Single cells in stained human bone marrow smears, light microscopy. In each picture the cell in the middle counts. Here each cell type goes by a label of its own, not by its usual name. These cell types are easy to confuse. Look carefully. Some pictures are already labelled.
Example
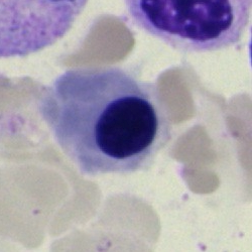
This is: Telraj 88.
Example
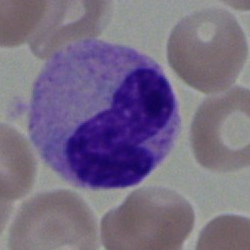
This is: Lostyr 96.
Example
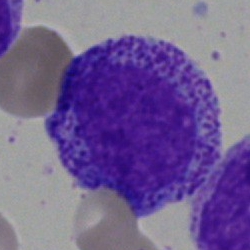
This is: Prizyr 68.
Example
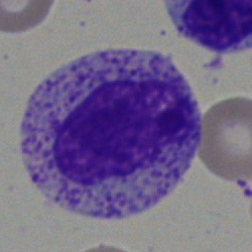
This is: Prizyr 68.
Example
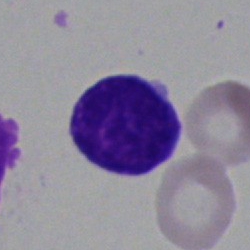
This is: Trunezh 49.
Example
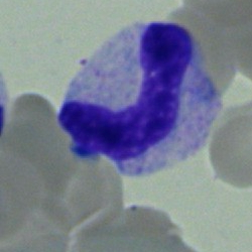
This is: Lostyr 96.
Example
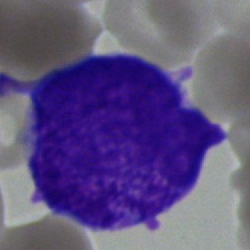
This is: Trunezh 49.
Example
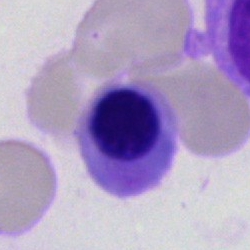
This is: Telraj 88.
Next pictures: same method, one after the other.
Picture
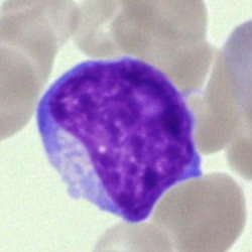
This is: Trunezh 49.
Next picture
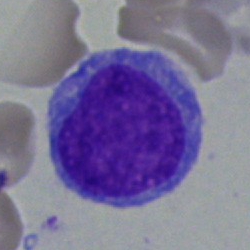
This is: Trunezh 49.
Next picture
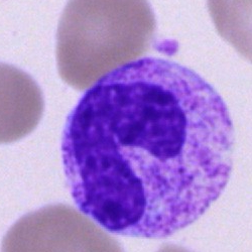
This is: Lostyr 96.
